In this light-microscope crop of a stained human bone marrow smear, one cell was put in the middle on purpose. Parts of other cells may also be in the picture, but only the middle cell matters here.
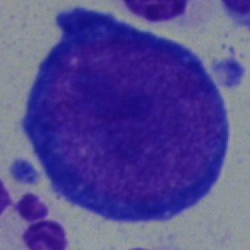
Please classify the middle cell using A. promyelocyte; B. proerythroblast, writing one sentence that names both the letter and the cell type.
That the central cell is a proerythroblast makes option B correct.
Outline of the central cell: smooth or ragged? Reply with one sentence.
This cell does not have a smooth edge; it is ragged or extended into projections.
